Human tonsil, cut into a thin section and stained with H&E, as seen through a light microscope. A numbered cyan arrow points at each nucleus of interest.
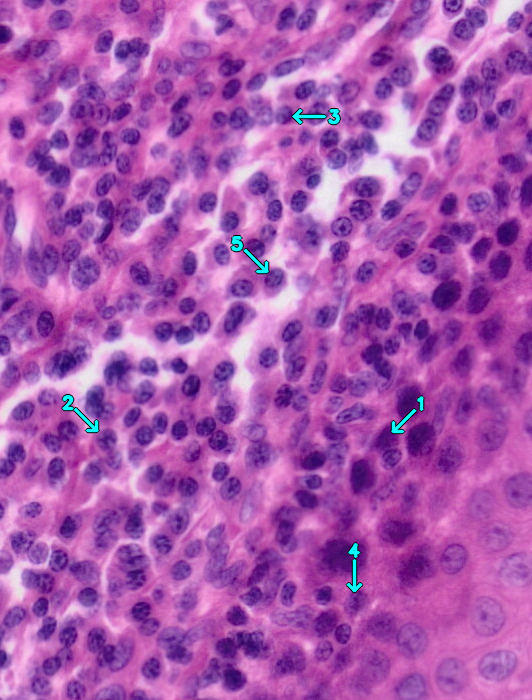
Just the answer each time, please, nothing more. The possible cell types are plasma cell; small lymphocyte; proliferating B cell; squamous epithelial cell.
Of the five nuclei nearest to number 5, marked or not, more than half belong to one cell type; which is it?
plasma cell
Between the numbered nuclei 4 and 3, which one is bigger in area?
4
